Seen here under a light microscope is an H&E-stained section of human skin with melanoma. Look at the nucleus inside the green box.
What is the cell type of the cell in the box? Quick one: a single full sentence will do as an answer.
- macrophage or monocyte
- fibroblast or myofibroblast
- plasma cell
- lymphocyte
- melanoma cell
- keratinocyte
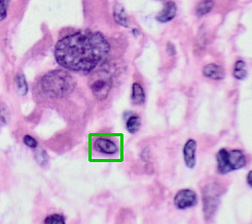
In this field of tissue, the cell in the box is a macrophage or monocyte.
